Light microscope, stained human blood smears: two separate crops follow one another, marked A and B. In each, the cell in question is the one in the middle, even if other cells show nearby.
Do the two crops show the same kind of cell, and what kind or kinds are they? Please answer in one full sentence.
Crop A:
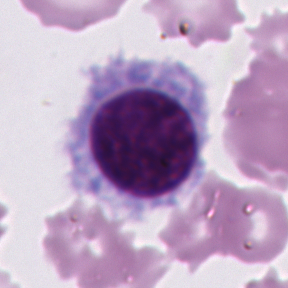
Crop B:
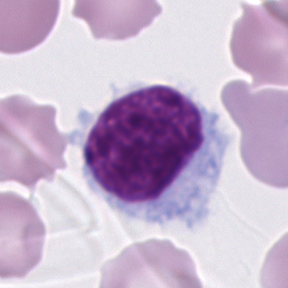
Yes, both crops show a cell each, and these are hairy cells.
